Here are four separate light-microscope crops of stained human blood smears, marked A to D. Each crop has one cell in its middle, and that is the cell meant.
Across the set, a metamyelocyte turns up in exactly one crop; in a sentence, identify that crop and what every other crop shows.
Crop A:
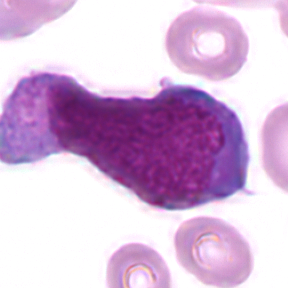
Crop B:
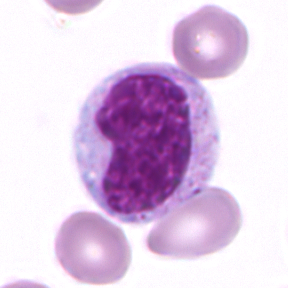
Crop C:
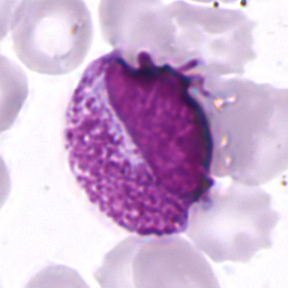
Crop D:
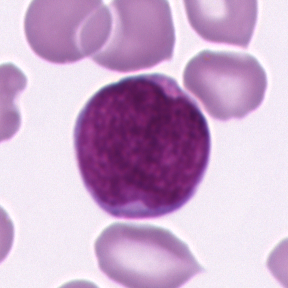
With respect to crop B, the cell is a metamyelocyte, whereas crop A is an atypical promyelocyte, crop C is a myelocyte and crop D is a myeloblast.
